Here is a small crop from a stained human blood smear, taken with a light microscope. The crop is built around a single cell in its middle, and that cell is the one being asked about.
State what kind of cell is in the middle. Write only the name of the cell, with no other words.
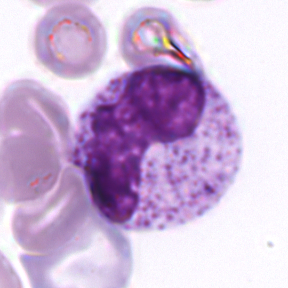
band neutrophil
